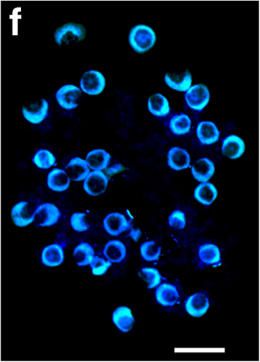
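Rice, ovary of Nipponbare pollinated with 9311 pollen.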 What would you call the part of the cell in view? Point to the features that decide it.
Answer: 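Endosperm free nuclei. Round blue-fluorescent bodies lie separately, not enclosed in cell walls. Each body has a brighter blue rim around a dimmer centre. No other cells or tissue are seen among them.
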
